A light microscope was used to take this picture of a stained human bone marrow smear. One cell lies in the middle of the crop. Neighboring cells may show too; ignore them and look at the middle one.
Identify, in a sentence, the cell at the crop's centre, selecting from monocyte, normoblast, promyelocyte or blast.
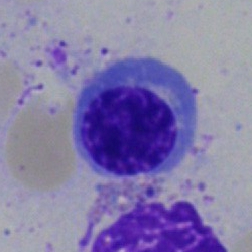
The cell at the middle of the crop is recognized as a normoblast.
